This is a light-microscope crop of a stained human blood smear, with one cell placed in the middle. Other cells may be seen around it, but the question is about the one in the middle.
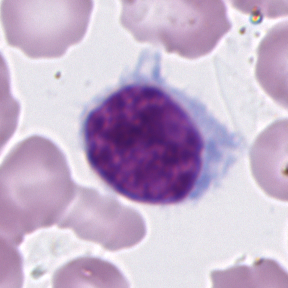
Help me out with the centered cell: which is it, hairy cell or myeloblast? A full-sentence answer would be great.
The cell under consideration, at the middle of the crop, is a hairy cell.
